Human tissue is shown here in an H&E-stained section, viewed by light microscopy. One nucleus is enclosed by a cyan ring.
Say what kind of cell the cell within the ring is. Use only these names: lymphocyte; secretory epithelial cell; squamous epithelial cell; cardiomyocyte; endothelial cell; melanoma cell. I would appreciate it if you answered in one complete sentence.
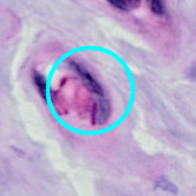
Cell type answer for this item: the cell within the ring is an endothelial cell.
